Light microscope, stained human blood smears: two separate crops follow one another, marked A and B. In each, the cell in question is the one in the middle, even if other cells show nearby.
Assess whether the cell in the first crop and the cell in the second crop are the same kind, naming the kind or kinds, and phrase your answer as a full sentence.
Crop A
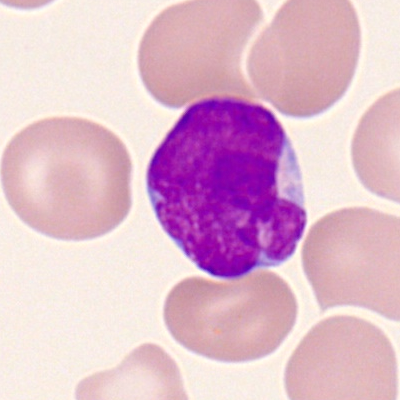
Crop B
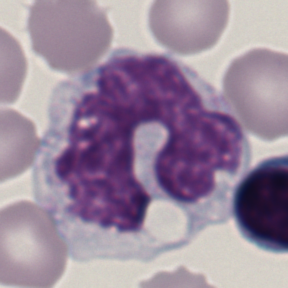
No, crop A shows a blast, and crop B, by contrast, shows a monocyte.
